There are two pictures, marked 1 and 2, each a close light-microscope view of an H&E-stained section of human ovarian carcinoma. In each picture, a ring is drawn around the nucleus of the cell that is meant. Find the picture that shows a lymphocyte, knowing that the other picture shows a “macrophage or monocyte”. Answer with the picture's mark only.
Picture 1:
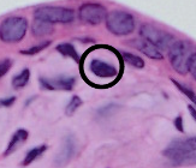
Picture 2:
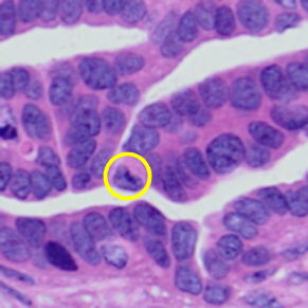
1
